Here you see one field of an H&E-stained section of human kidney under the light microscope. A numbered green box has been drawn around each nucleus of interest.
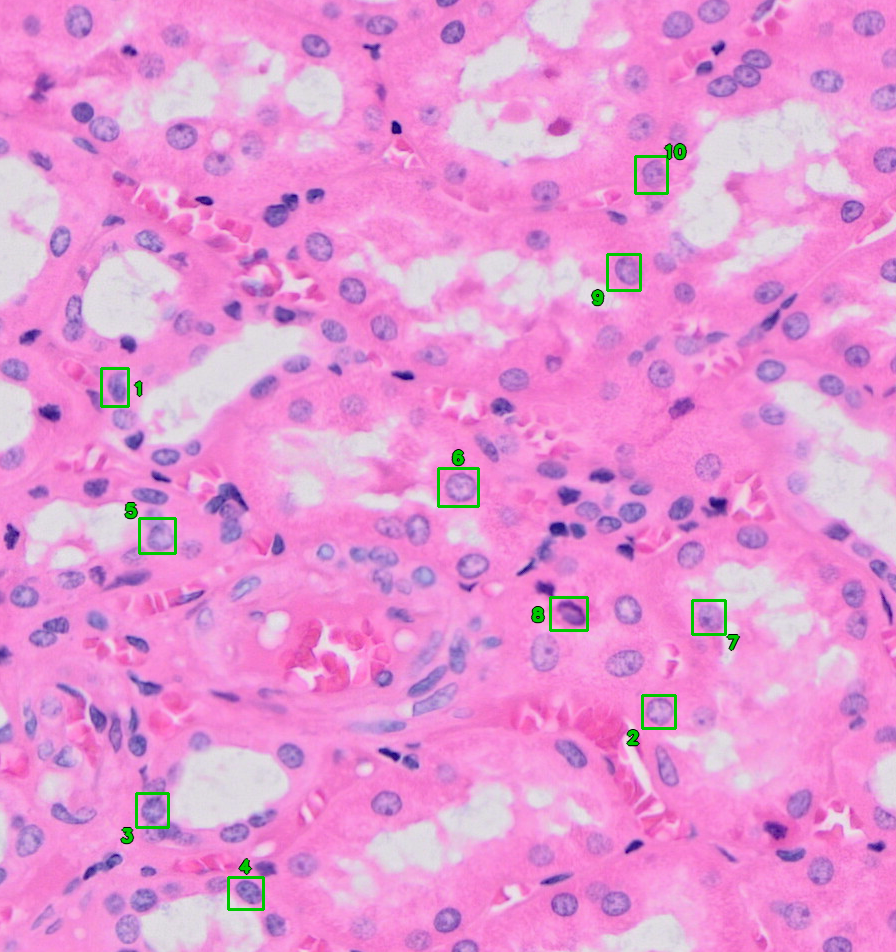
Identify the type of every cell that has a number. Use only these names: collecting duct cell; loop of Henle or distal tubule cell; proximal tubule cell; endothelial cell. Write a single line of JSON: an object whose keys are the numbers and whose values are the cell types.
{"1": "collecting duct cell", "2": "proximal tubule cell", "3": "collecting duct cell", "4": "loop of Henle or distal tubule cell", "5": "collecting duct cell", "6": "proximal tubule cell", "7": "proximal tubule cell", "8": "proximal tubule cell", "9": "proximal tubule cell", "10": "proximal tubule cell"}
